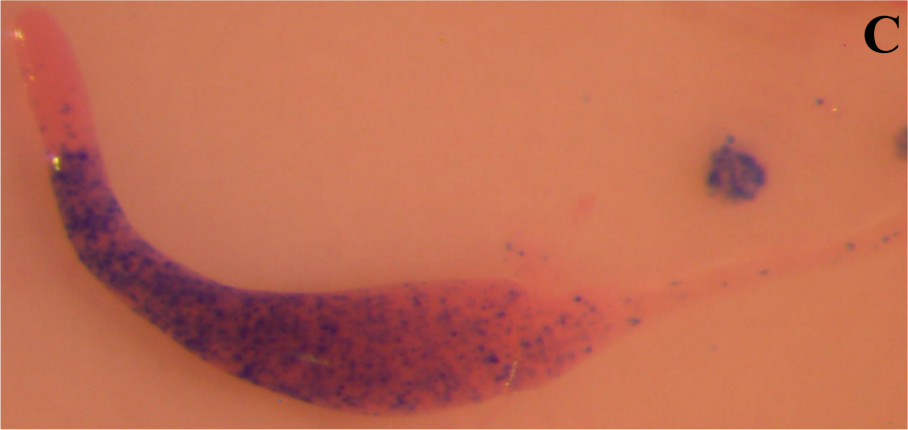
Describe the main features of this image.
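A migrating slug of the social amoeba lies curved across the field, a long sausage-shaped mass of cells stained pink. The front end at the upper left narrows into a pale, nearly unstained tip. From the rear a faint, narrow trail runs off to the right, carrying only scattered blue specks. A small separate clump of cells with blue staining lies apart in the background.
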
